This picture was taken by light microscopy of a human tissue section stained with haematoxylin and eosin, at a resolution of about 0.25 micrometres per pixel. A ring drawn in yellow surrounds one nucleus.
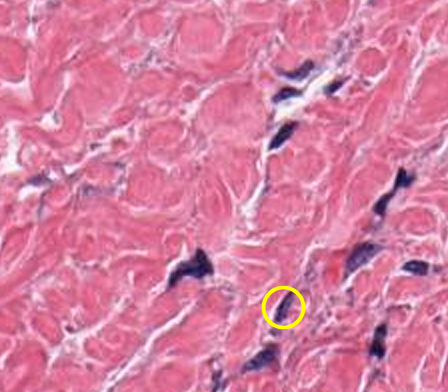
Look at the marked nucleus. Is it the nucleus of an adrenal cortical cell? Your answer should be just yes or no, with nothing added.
no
